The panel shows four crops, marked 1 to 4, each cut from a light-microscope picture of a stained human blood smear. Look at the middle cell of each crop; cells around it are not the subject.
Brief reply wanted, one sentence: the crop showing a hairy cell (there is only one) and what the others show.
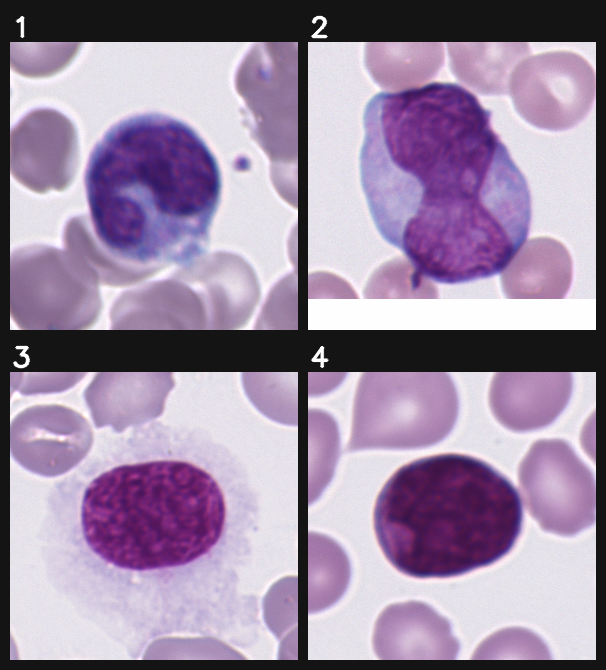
For crop 3 the cell is a hairy cell, while crop 1 is a monocyte, crop 2 is an atypical promyelocyte and crop 4 is a myeloblast.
